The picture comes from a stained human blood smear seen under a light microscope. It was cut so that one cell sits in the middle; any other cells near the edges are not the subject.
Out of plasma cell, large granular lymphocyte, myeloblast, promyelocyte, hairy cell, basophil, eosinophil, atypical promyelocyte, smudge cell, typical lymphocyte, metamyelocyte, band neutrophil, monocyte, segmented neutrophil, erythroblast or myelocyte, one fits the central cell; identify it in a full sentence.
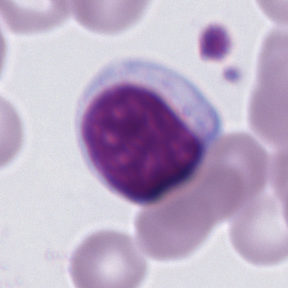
The cell featured at the centre of this crop is a large granular lymphocyte.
